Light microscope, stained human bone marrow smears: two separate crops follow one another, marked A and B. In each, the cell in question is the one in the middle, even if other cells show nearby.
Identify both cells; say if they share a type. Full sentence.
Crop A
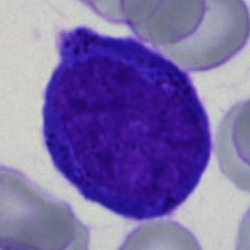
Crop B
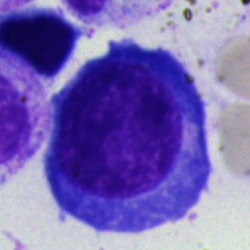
Yes, the pair of crops both show proerythroblasts.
